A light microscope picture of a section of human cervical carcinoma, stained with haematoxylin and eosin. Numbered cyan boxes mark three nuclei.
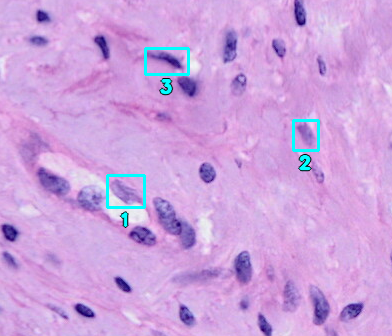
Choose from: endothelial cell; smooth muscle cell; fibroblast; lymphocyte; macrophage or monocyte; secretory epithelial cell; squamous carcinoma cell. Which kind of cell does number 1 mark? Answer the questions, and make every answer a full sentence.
The expected answer is that cell 1 is an endothelial cell.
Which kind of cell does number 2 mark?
In this section, the cell tagged 2 is a fibroblast.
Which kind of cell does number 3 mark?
Belonging to a fibroblast is the nucleus that carries the number 3.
